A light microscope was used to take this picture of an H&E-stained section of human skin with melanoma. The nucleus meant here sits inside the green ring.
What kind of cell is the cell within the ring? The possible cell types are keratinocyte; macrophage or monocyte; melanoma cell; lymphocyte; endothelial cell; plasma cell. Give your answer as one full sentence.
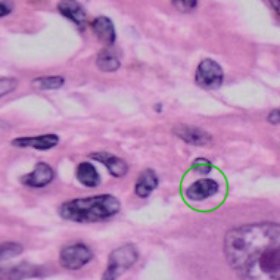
In this section, the cell within the ring is a lymphocyte.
